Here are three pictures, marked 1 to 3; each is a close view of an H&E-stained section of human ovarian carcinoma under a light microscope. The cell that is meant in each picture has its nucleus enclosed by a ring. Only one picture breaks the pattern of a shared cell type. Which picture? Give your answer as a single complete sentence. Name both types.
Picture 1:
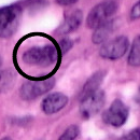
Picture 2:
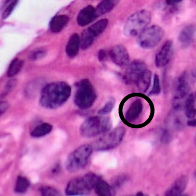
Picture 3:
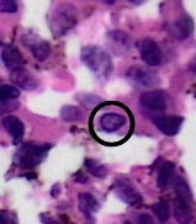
Picture 3 is the odd one out: it shows a “macrophage or monocyte”, while the others show carcinoma cells.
